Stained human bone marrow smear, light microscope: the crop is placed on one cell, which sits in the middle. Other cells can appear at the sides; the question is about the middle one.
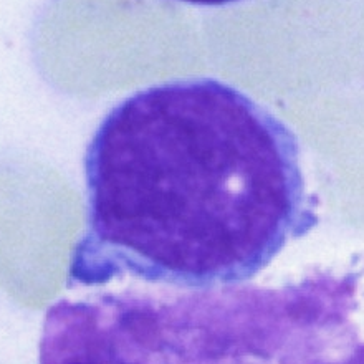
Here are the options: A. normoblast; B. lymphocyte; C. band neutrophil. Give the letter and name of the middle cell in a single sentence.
Here the central cell is a lymphocyte, and option B is correct.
